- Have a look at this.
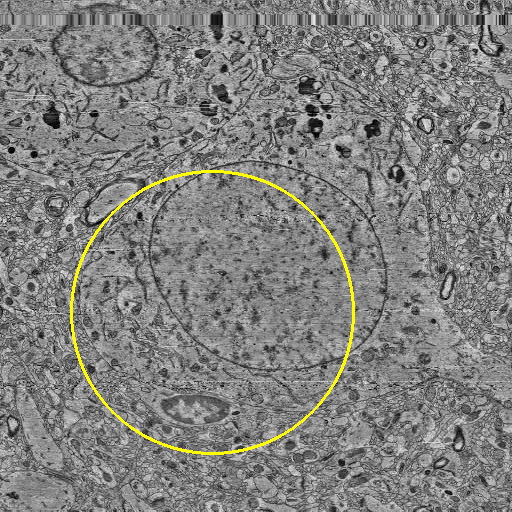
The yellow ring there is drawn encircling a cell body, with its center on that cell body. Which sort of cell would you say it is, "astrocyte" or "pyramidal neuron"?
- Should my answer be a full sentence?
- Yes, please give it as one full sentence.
For this picture, a pyramidal neuron is the cell where the yellow ring has its center.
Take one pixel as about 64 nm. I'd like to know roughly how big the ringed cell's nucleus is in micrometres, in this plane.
The nucleus has a long axis of about 16 micrometres and a short axis of about 14 micrometres in this plane.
